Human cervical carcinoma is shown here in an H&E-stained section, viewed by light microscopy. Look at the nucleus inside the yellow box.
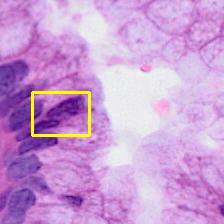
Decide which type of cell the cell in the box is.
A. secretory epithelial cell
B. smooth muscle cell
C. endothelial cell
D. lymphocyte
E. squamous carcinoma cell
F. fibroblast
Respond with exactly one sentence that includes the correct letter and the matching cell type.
Of the options offered, A is correct, as the cell in the box is a secretory epithelial cell.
